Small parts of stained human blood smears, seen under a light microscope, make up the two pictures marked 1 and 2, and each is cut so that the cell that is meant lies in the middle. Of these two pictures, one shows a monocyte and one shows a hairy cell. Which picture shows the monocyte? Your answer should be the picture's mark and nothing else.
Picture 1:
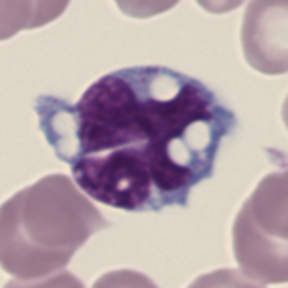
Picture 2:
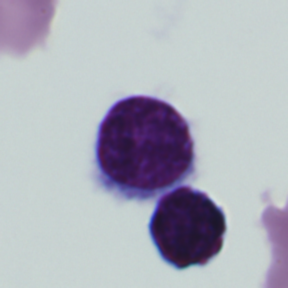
1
